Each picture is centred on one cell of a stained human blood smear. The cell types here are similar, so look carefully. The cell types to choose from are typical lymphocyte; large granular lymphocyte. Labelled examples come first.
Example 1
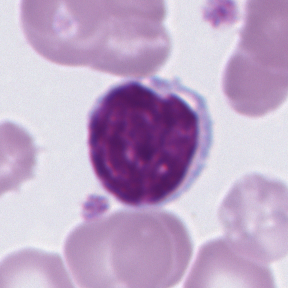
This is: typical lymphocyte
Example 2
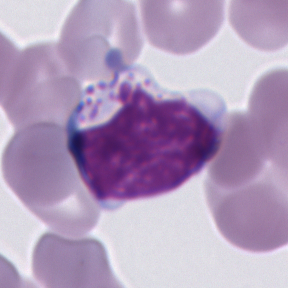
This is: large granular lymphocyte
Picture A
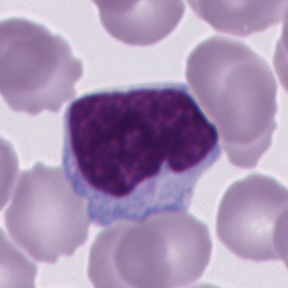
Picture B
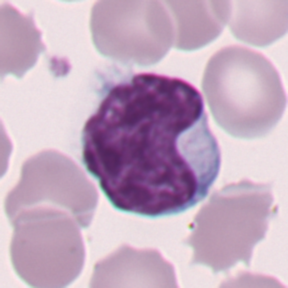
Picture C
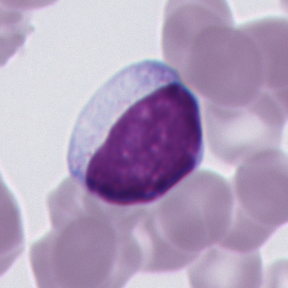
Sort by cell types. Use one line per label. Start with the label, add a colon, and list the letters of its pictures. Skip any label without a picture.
typical lymphocyte: A, B
large granular lymphocyte: C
